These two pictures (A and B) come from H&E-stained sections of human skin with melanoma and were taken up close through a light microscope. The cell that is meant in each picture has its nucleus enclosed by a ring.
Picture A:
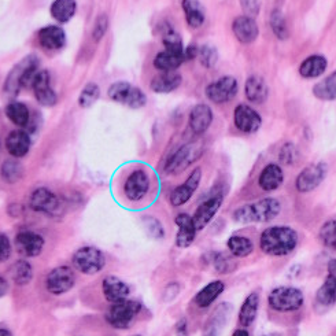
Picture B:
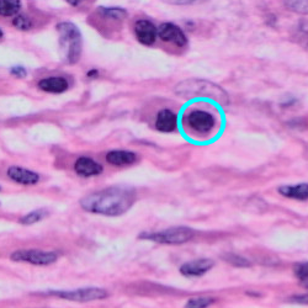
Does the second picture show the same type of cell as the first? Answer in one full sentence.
Yes, both cells are plasma cells.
